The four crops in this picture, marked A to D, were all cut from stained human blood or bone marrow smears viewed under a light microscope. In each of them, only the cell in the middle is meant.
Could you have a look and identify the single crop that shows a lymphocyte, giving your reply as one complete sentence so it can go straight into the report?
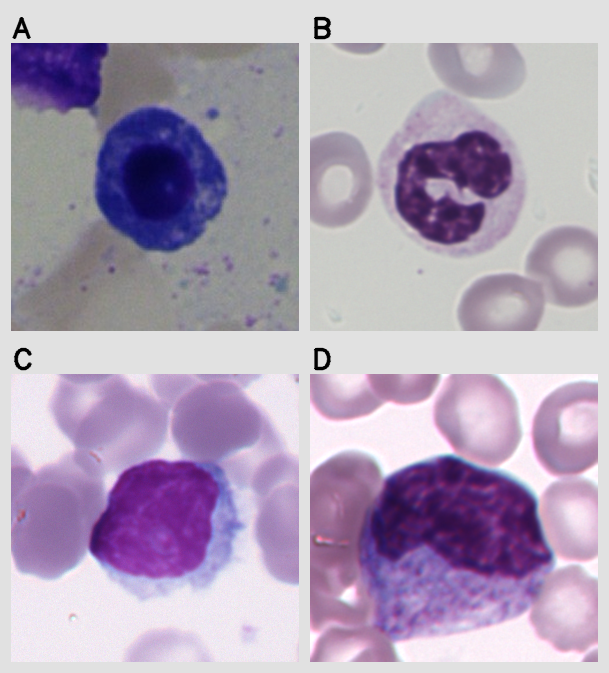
The crop in which a lymphocyte is shown is crop C.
